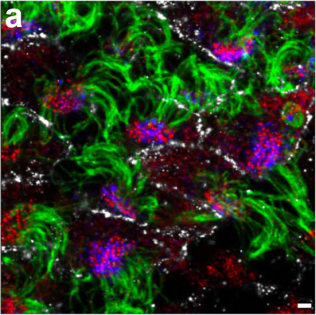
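Dotted grey lines trace the apical cell borders, showing a mosaic of polygonal cells. The blue signal overlaps the red dot clusters, lying in the patch rather than along the cilia themselves.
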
